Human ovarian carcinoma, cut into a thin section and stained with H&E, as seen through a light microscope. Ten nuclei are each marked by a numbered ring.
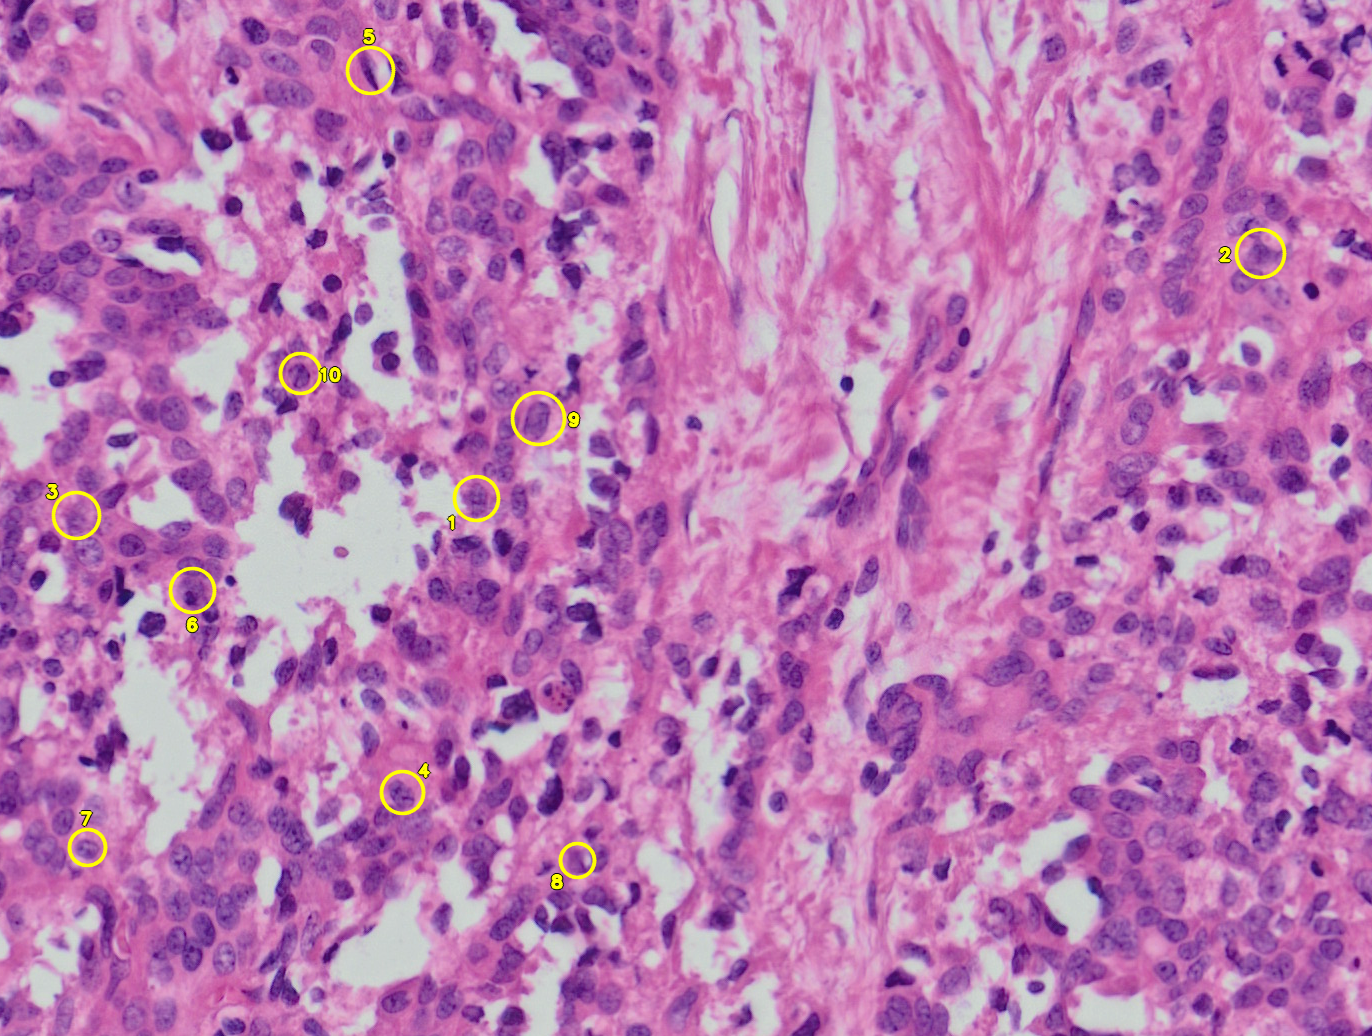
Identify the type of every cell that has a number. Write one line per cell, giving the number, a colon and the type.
1: carcinoma cell
2: carcinoma cell
3: carcinoma cell
4: macrophage or monocyte
5: endothelial cell
6: carcinoma cell
7: macrophage or monocyte
8: carcinoma cell
9: carcinoma cell
10: macrophage or monocyte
